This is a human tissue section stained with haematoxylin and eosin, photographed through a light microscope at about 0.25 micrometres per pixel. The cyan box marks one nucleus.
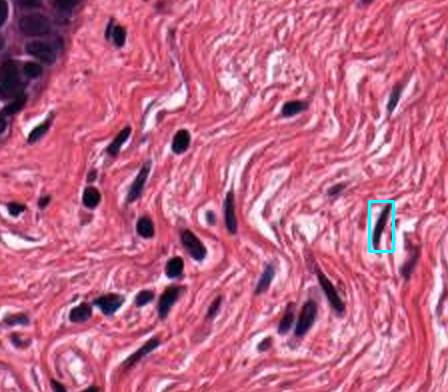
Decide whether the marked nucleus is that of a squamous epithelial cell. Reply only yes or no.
no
